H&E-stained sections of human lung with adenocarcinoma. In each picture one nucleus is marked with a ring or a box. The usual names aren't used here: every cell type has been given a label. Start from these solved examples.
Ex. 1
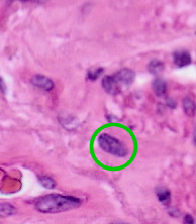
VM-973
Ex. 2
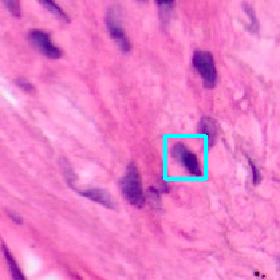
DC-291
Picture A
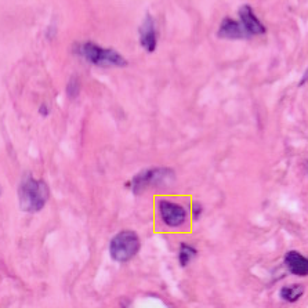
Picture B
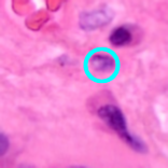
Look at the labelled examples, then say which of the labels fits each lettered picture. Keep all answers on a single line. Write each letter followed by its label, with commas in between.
A VM-973, B VM-973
